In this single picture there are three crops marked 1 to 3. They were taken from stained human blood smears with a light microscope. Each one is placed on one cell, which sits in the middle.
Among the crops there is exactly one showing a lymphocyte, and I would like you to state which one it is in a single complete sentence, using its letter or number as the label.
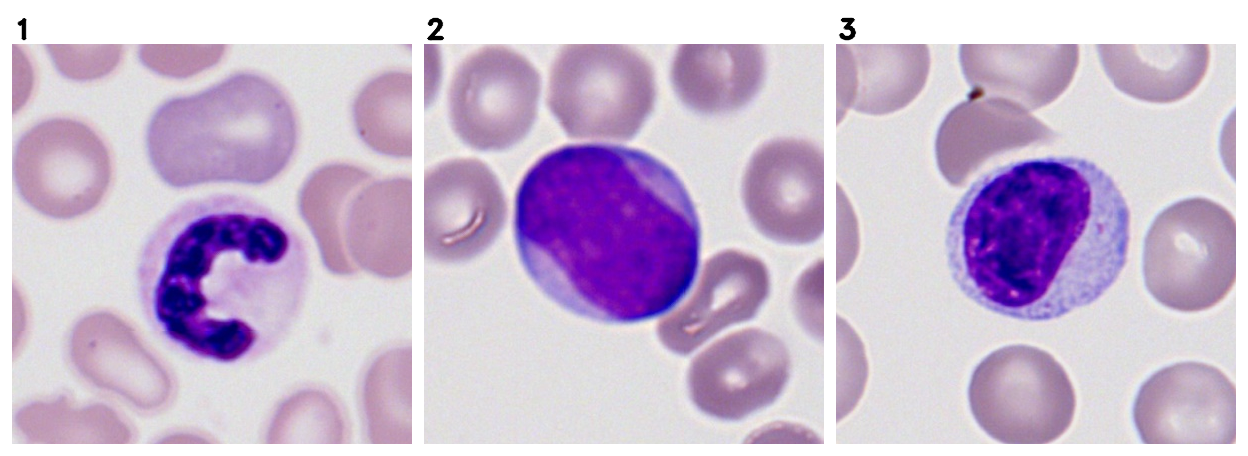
Crop 3 is the crop that shows a lymphocyte in its middle.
